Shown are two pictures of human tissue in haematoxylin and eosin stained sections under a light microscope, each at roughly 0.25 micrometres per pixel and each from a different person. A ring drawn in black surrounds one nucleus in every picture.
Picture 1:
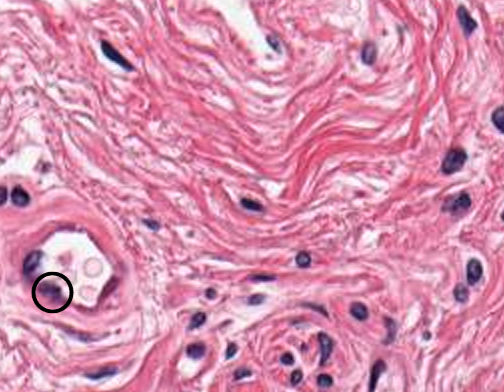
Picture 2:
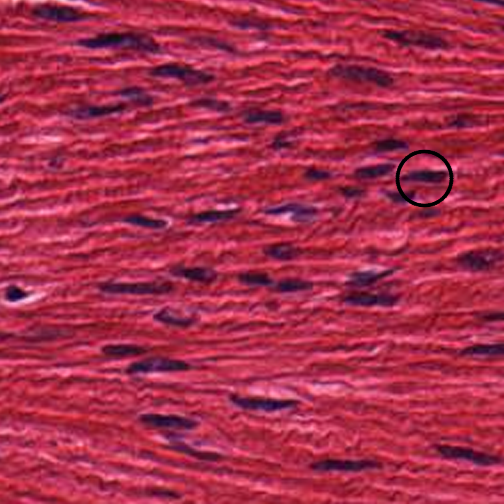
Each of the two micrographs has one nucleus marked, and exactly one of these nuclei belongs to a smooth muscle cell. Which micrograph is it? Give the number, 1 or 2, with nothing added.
2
